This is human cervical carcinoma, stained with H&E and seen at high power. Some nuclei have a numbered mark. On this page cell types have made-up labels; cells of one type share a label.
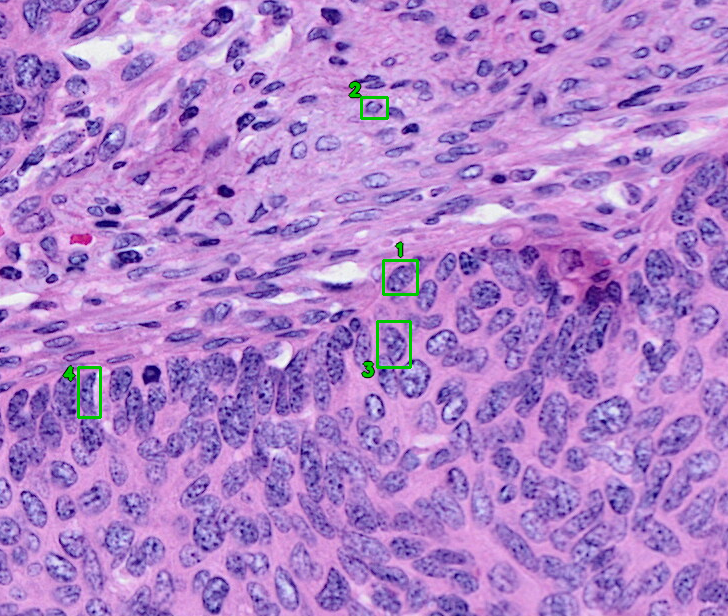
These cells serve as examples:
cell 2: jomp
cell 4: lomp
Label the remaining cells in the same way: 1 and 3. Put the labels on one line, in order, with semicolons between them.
lomp; lomp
